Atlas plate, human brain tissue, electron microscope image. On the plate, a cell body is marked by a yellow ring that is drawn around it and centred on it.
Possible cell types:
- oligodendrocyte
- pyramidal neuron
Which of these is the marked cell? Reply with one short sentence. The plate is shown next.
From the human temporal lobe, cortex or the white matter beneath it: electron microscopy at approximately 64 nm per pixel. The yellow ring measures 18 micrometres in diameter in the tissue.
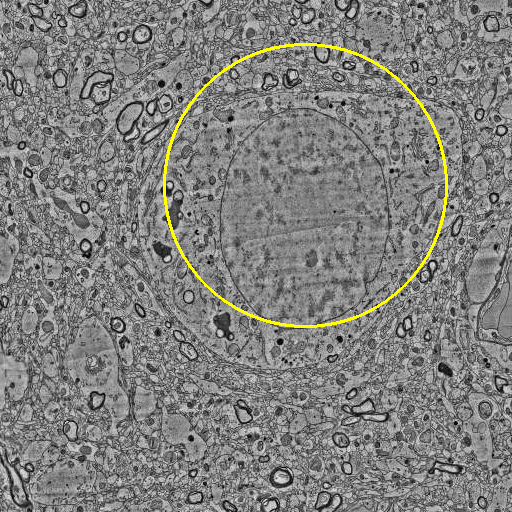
The marked cell is a pyramidal neuron.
